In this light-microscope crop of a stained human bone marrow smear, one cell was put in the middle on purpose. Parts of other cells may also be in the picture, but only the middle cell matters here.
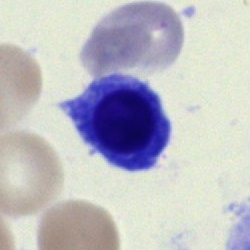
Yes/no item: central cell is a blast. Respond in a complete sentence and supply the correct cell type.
No, the cell in the middle is an erythroblast, not a blast.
